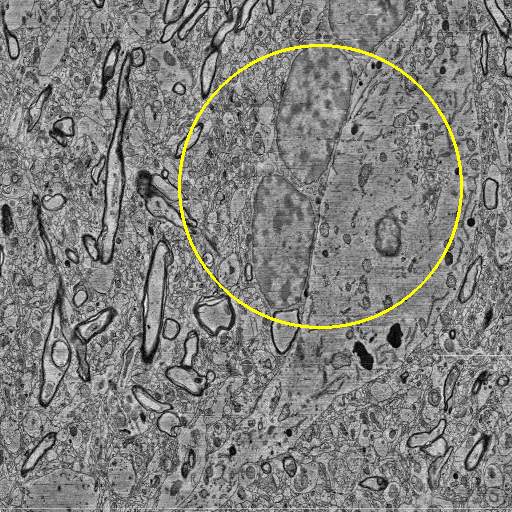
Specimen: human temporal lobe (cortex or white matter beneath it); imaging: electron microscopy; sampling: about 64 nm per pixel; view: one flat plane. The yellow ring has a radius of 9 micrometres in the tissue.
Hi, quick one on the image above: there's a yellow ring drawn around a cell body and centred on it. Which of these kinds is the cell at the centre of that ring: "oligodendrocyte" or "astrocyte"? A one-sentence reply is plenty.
The cell at the centre of the ring is an oligodendrocyte.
